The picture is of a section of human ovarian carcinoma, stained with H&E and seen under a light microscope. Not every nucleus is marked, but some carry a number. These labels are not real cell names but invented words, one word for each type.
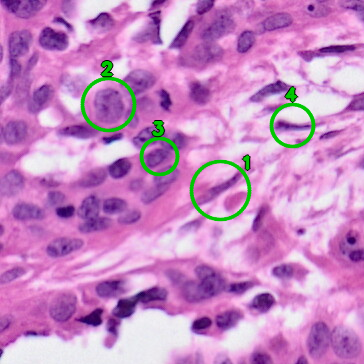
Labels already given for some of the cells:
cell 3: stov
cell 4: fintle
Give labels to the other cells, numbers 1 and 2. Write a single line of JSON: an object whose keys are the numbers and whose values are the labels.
{"1": "fintle", "2": "stov"}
